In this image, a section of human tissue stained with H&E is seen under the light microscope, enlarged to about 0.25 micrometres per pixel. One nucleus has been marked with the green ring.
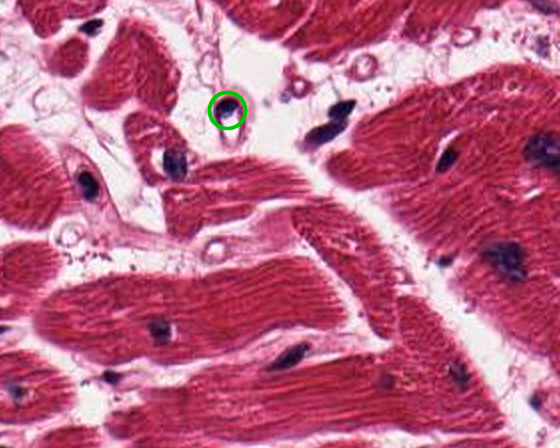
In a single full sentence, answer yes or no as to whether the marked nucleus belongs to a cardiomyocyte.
No, the marked nucleus does not belong to a cardiomyocyte; it belongs to a supporting cell.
